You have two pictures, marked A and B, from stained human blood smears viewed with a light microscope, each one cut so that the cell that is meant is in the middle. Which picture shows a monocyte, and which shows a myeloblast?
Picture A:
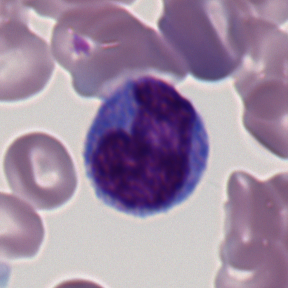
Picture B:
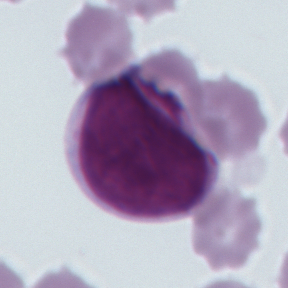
A: monocyte
B: myeloblast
